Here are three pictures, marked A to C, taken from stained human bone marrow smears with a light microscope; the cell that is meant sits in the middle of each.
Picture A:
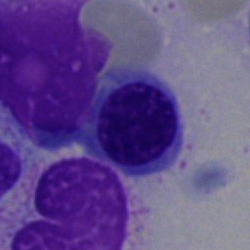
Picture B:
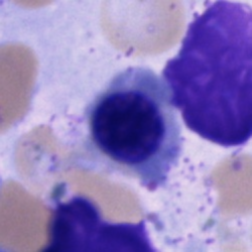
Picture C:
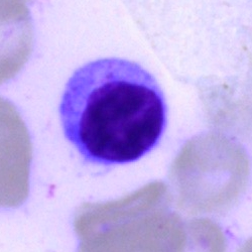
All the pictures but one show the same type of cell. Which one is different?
C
